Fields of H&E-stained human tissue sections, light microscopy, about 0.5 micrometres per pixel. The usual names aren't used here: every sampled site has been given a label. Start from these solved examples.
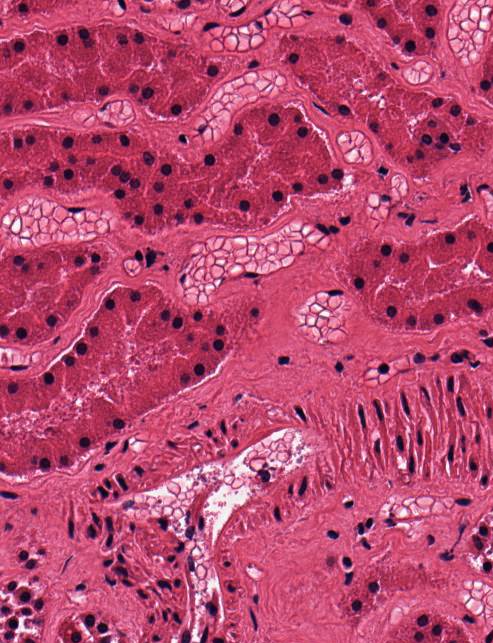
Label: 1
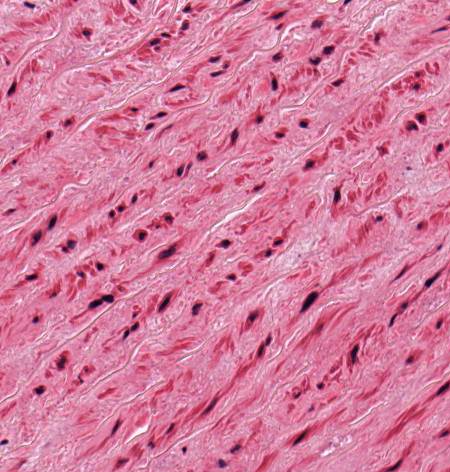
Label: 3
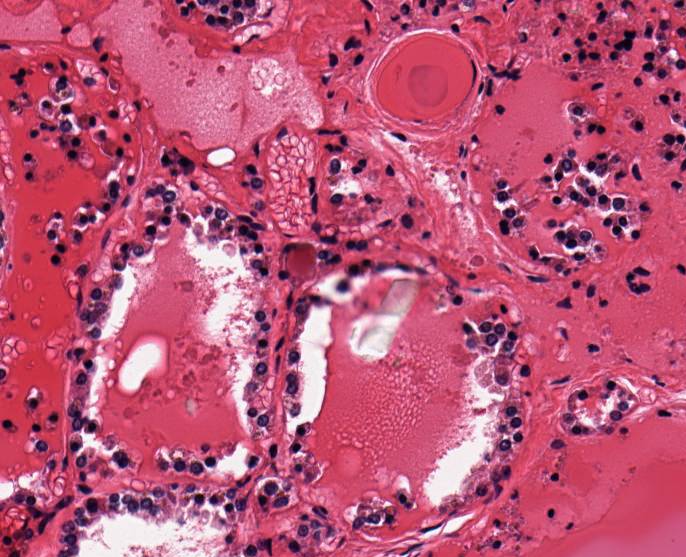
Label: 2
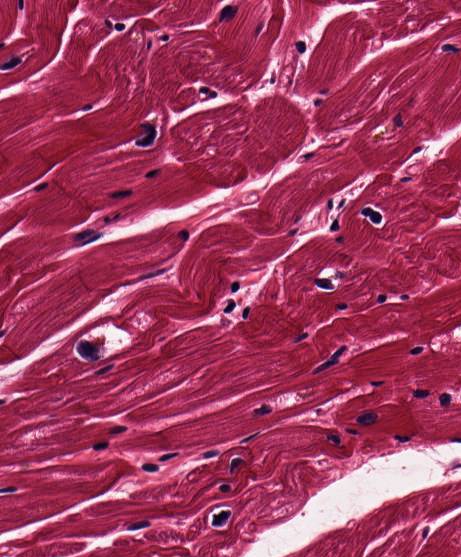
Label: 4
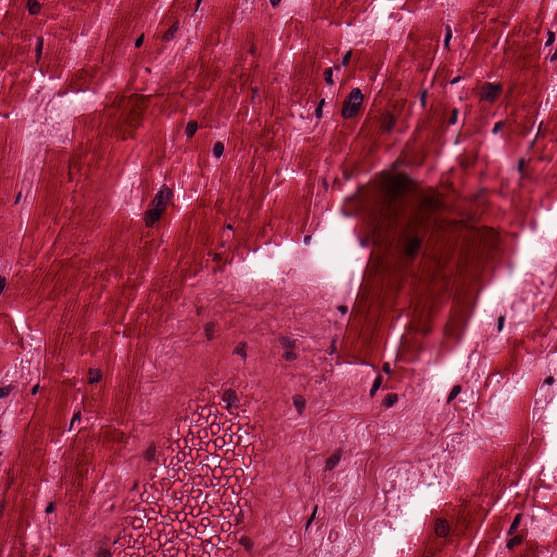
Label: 4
